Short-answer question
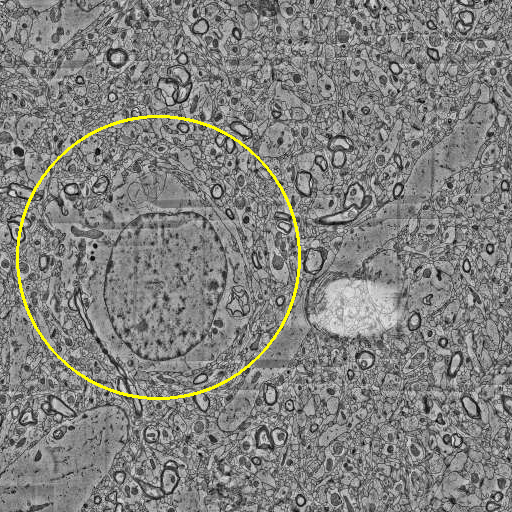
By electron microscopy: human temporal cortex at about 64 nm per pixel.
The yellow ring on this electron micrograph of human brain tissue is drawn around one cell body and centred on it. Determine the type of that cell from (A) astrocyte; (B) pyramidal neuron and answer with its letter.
A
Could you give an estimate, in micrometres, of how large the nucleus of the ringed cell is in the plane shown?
The nucleus measures about 10 by 8 micrometres in this plane.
